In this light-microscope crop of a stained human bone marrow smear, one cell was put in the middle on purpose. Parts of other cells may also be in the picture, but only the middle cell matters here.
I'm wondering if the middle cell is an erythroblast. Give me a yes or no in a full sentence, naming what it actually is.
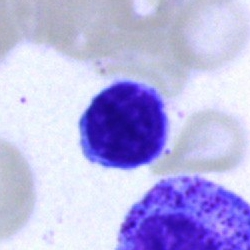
No, that guess of an erythroblast misses; the central cell is a lymphocyte.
